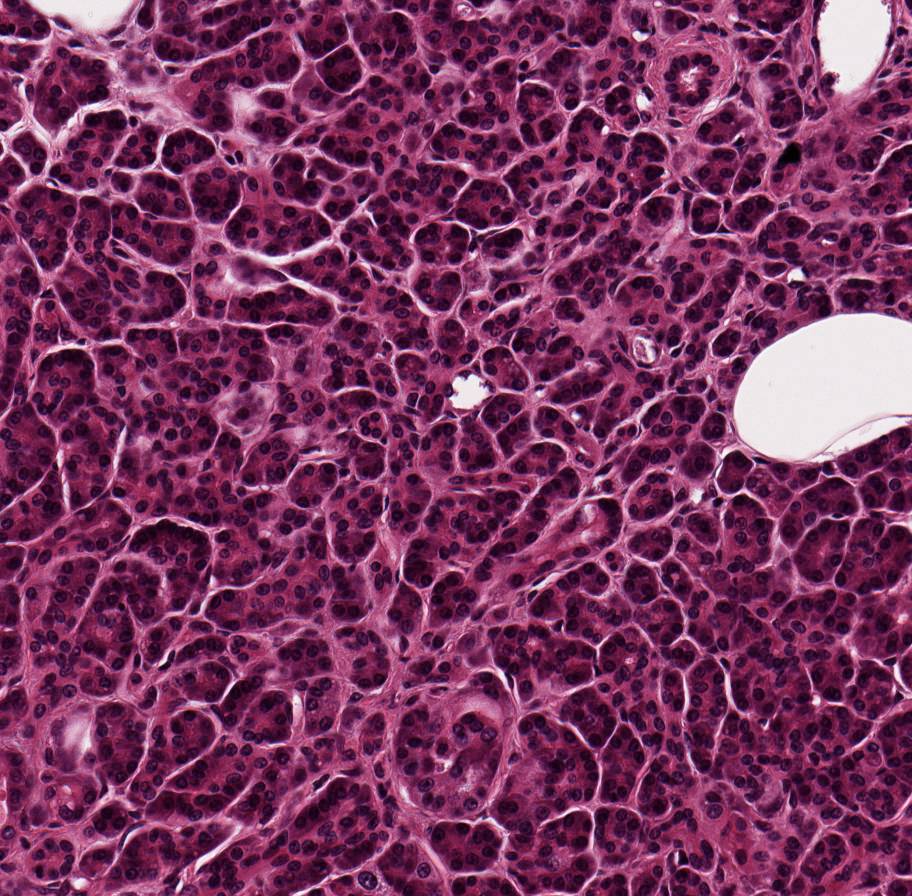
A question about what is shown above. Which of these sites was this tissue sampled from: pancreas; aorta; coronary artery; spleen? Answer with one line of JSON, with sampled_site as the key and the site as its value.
{"sampled_site": "pancreas"}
